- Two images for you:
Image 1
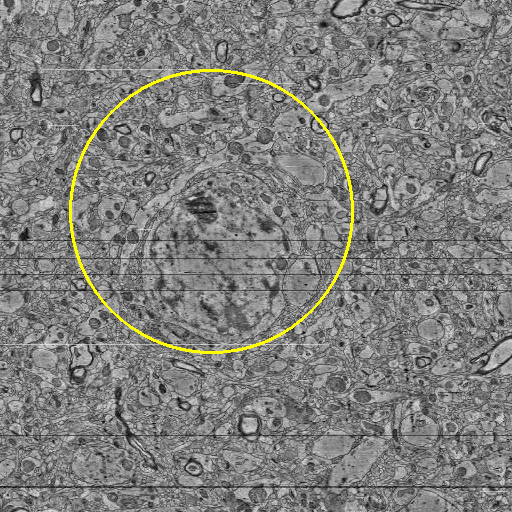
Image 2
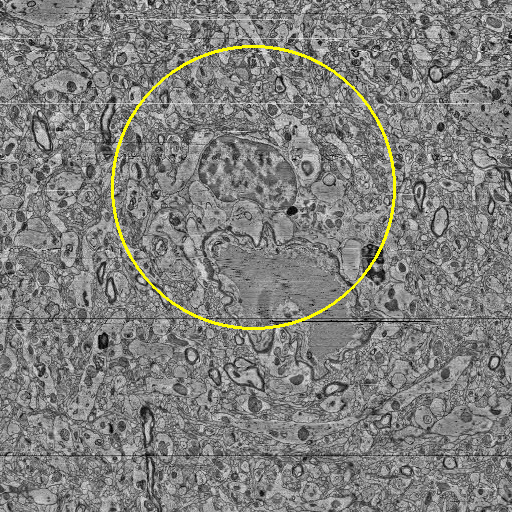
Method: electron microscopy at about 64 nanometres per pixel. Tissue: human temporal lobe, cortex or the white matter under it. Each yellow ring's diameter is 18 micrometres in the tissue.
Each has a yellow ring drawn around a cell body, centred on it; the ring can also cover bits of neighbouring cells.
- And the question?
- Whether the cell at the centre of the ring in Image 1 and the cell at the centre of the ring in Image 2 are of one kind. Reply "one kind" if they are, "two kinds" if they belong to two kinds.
two kinds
